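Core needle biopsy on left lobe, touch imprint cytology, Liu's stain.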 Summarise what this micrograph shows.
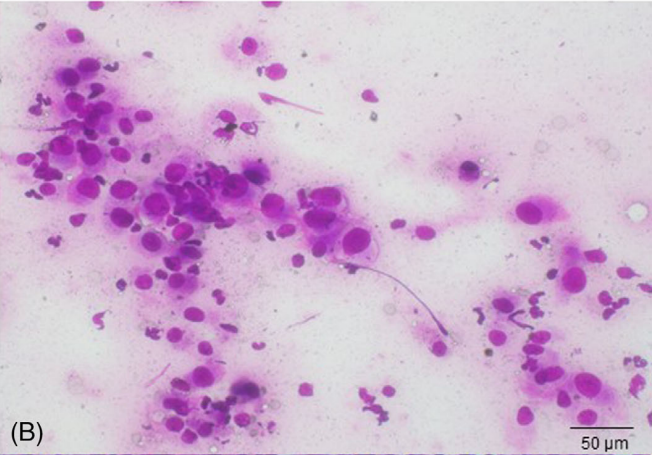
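Tumor cells are spread singly and in loose clusters on a pale background. Their nuclei are round to oval and deep purple, and they differ markedly in size from one cell to the next. The cytoplasm is pale violet and in places poorly defined. Small red blood cells and other small cells lie between them. The unequal cells point to a pleomorphic neoplasm.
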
